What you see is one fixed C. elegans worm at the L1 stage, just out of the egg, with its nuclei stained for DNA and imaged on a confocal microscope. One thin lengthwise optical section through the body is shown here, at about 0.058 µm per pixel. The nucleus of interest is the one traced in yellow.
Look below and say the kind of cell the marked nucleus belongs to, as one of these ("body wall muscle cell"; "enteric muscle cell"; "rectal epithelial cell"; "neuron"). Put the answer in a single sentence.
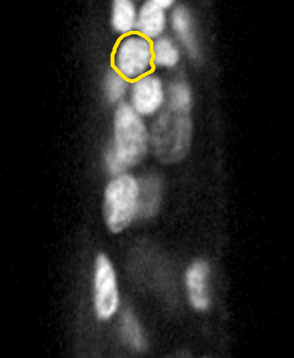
The marked cell is a neuron.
